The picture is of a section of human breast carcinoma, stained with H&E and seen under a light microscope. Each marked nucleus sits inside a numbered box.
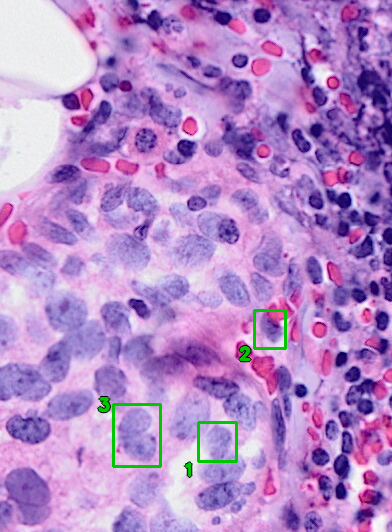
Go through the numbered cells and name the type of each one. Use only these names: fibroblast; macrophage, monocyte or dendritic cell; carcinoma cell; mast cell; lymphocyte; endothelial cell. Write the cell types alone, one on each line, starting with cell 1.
carcinoma cell
endothelial cell
carcinoma cell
